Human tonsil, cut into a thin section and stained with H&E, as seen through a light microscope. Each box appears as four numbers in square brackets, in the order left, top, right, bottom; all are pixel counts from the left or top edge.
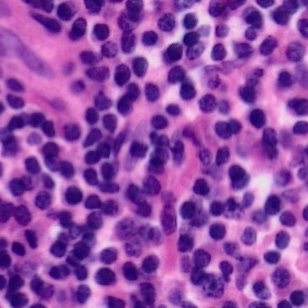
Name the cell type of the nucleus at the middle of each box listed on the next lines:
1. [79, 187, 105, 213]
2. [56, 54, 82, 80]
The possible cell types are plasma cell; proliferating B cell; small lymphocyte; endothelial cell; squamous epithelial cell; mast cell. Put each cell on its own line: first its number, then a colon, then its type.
1: small lymphocyte
2: endothelial cell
